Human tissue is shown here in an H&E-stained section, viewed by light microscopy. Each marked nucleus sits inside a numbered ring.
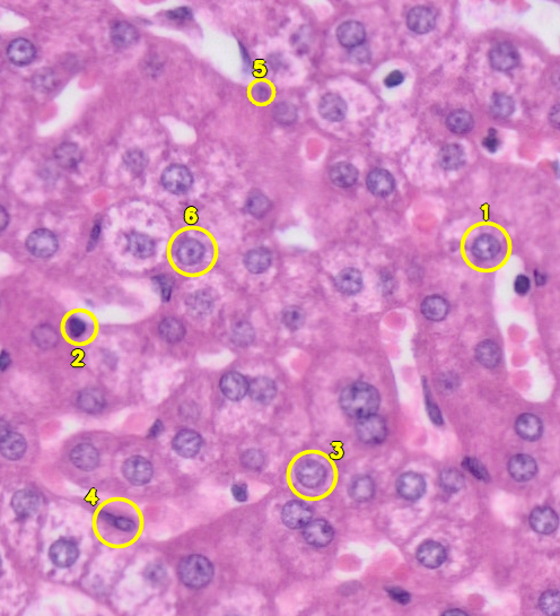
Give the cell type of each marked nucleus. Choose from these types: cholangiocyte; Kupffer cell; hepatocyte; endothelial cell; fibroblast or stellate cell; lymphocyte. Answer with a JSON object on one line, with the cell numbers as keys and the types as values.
{"1": "hepatocyte", "2": "fibroblast or stellate cell", "3": "hepatocyte", "4": "Kupffer cell", "5": "fibroblast or stellate cell", "6": "hepatocyte"}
